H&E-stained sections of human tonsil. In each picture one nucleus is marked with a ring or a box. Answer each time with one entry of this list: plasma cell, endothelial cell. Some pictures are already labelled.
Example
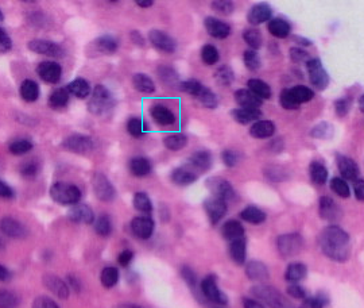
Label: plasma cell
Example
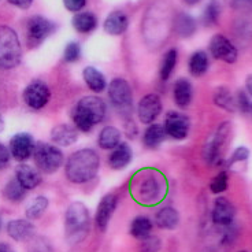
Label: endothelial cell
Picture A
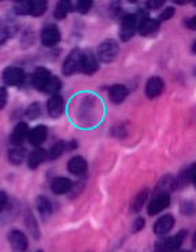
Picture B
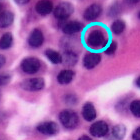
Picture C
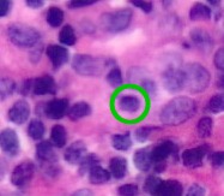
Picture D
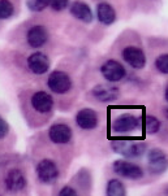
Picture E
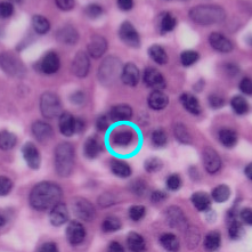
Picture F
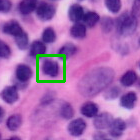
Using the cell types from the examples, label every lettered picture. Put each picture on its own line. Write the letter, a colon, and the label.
A: endothelial cell
B: plasma cell
C: endothelial cell
D: plasma cell
E: plasma cell
F: endothelial cell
